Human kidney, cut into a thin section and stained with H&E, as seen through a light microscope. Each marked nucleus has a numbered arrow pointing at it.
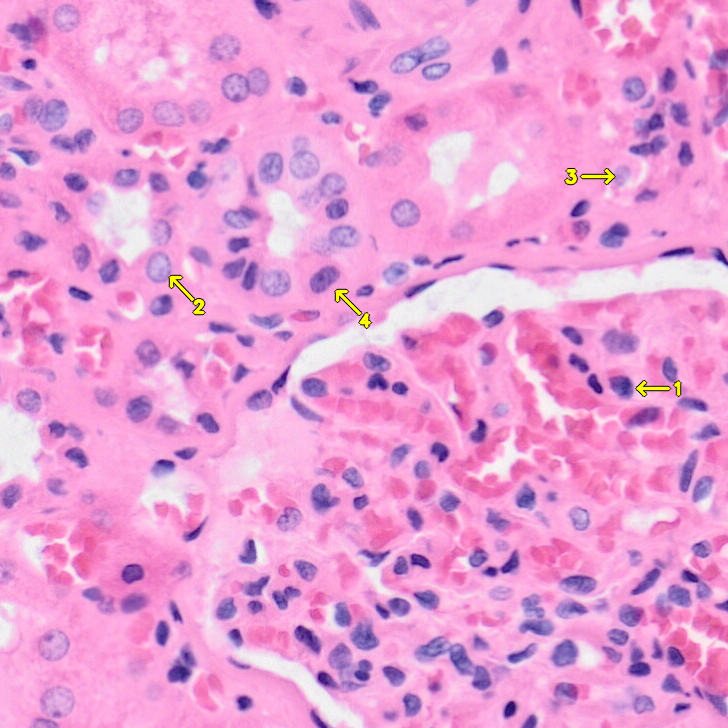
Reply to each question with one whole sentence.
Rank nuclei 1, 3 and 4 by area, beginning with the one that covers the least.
From smallest to largest, the order is 3, 1, 4.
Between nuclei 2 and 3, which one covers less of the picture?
With nucleus 2 about 2 times its size, nucleus 3 is the smaller of the two.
